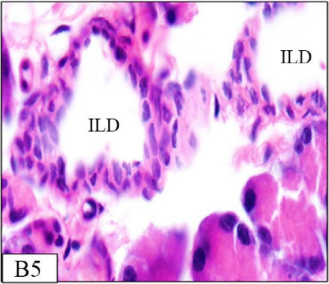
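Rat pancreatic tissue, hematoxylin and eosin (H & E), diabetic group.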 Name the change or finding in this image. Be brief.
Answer: stratification of their epithelial lining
